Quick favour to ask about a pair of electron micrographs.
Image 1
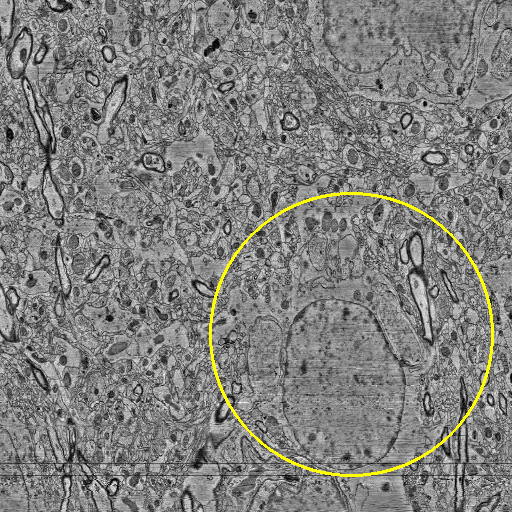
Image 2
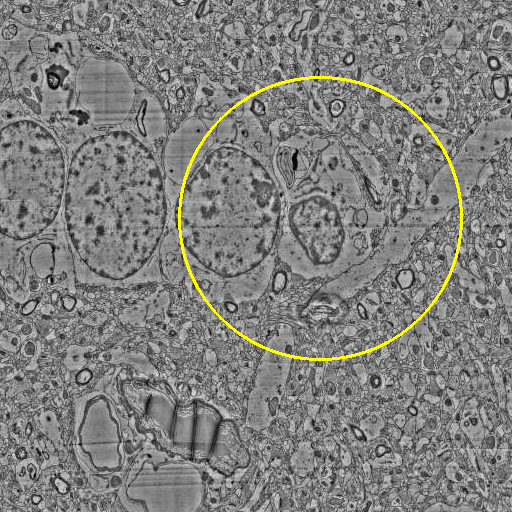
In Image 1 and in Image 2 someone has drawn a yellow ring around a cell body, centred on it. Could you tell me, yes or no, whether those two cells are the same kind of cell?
yes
